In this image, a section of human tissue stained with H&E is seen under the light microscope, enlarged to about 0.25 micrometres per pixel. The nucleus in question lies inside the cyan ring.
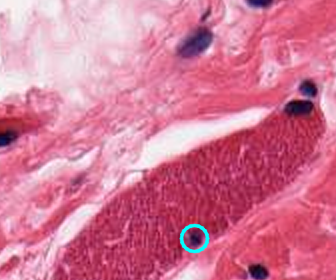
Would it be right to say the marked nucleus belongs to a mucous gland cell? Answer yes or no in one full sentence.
No, the marked nucleus does not belong to a mucous gland cell; it belongs to a skeletal muscle fibre.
